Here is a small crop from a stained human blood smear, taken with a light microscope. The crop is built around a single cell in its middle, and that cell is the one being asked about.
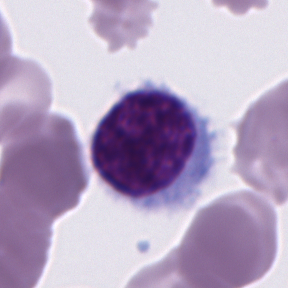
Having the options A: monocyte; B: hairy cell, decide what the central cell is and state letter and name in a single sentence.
The cell in the center of this crop is a hairy cell, so option B is the one to pick.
